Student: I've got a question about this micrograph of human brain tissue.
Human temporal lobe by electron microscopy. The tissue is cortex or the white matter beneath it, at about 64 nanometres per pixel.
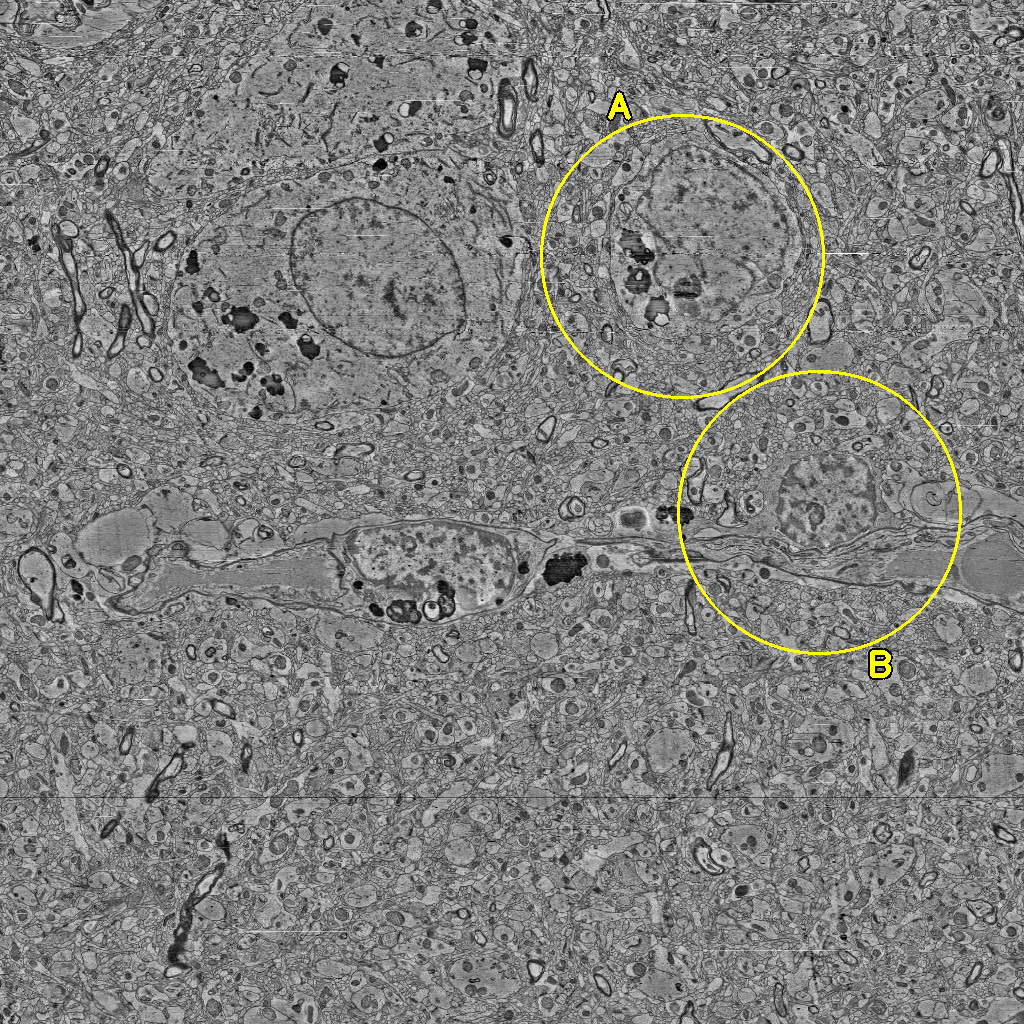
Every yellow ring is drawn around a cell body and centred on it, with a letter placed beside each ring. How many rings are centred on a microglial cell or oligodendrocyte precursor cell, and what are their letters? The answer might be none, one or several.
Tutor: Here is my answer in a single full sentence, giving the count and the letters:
Whichever letter is chosen, its ring is not centred on a microglial cell or oligodendrocyte precursor cell, so the count is zero.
